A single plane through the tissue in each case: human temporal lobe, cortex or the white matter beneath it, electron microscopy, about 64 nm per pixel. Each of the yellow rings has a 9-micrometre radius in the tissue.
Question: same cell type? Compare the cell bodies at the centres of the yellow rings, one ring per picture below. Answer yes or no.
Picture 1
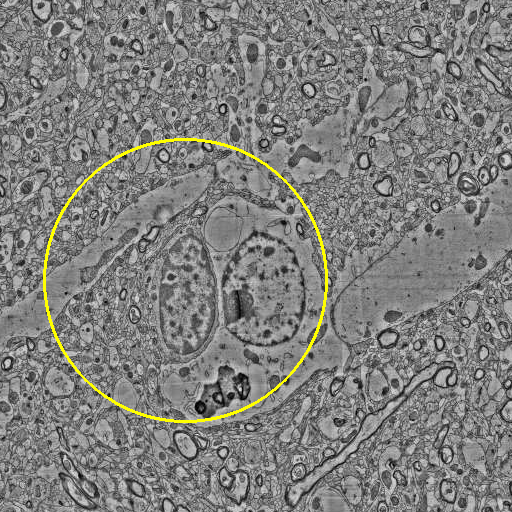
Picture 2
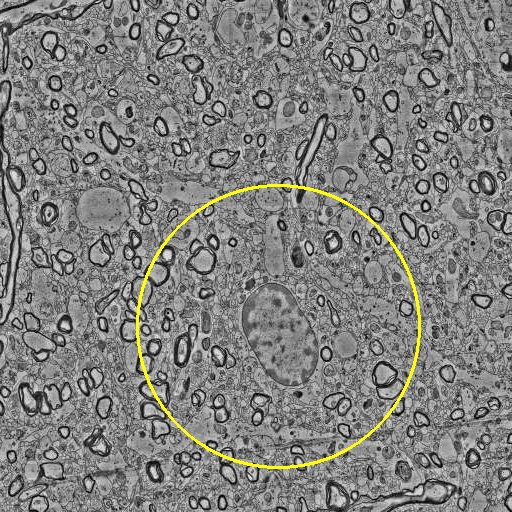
no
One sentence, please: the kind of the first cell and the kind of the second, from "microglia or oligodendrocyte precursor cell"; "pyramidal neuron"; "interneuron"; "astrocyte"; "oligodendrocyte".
The ring in the first picture surrounds an oligodendrocyte, and the ring in the second surrounds a microglial cell or oligodendrocyte precursor cell.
